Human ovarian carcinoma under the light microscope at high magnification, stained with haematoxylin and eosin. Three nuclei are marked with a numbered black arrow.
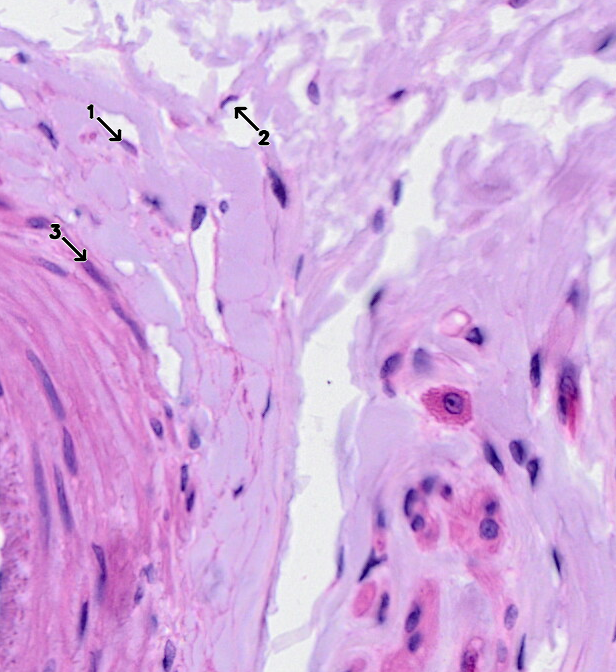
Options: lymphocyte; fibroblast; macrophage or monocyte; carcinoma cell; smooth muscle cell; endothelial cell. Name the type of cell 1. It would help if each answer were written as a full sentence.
The cell that is numbered 1 is a fibroblast.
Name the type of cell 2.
The numeral 2 marks a fibroblast in this section.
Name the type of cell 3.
The mark numbered 3 indicates the nucleus of a smooth muscle cell.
